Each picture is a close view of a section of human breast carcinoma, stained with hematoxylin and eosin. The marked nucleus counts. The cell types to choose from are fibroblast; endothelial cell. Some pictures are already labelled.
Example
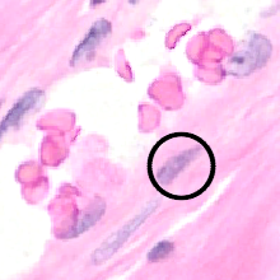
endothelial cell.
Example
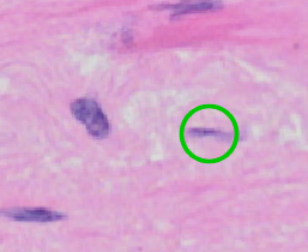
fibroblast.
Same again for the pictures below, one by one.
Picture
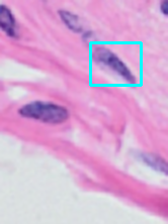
fibroblast.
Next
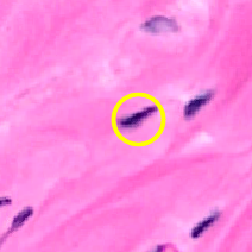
fibroblast.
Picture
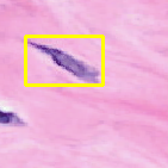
fibroblast.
